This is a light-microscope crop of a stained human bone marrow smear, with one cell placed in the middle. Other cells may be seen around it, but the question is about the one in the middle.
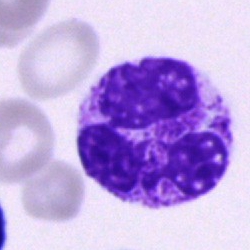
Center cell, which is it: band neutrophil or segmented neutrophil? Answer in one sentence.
By classification, the middle cell of this crop is a segmented neutrophil.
